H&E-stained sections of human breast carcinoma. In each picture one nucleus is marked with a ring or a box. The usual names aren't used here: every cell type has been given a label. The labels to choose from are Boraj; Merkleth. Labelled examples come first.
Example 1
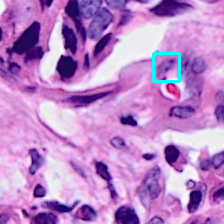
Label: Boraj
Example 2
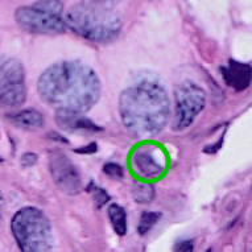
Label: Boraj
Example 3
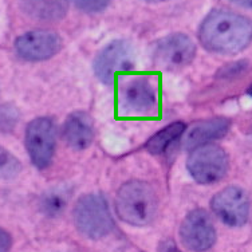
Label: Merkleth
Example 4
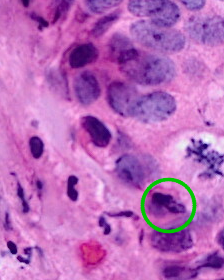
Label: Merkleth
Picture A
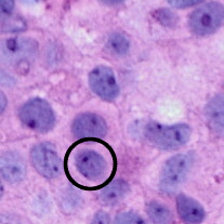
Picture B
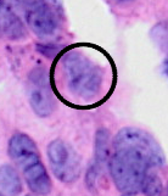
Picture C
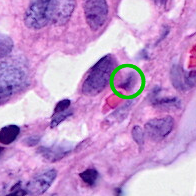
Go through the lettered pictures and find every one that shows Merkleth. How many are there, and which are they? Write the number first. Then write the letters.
2, namely A, B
